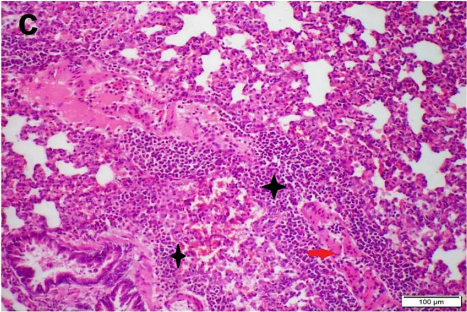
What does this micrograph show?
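This lung tissue is heavily infiltrated by inflammatory cells, seen as dense sheets of small, round, dark purple nuclei. The infiltrate crowds the alveolar walls so that only scattered small air spaces remain open. A bronchiole with a folded columnar epithelium lies at the lower left. A blood vessel runs across the field, its wall surrounded and invaded by inflammatory cells. Pink eosinophilic material and a few red blood cells lie within the infiltrated area.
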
